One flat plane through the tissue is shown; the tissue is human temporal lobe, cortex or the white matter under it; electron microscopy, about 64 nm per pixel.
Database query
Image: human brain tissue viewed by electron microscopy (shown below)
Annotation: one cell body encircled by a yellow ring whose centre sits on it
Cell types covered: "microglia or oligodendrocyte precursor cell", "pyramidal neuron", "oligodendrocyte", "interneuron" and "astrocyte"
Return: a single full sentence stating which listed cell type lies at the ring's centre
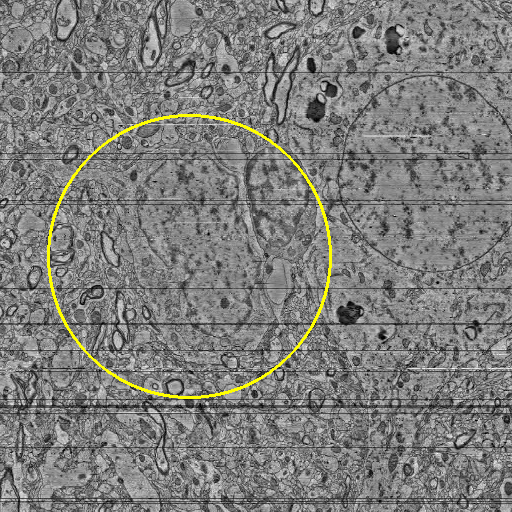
In the image, the cell lying at the ring's centre is an interneuron.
